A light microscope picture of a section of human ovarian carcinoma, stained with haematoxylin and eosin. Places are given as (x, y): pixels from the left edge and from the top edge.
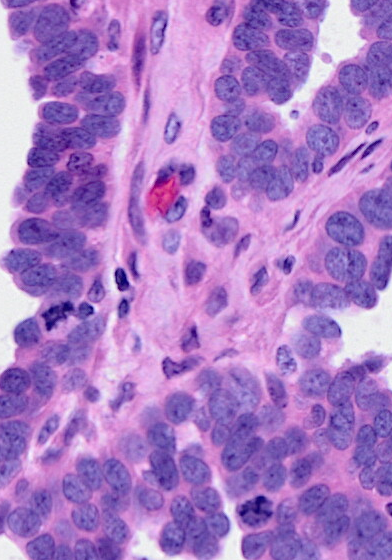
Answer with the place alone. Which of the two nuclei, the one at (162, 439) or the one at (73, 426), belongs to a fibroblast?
(73, 426)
